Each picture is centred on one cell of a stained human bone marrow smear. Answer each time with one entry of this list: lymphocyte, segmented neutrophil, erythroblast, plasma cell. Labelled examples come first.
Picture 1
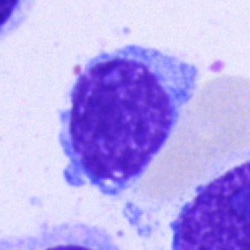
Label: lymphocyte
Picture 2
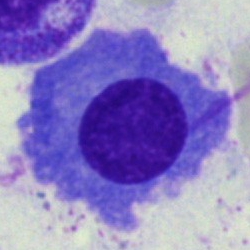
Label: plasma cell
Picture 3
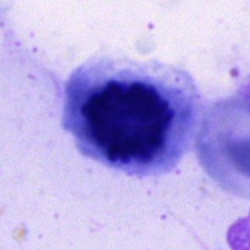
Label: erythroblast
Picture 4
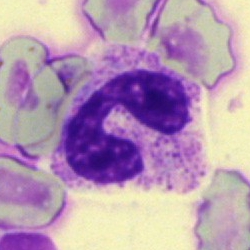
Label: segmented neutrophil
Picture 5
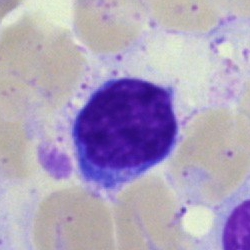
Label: lymphocyte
